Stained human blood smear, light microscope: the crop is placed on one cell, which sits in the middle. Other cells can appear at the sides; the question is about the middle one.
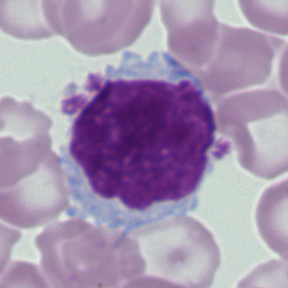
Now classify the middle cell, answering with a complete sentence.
The cell shown in the center of this light-microscope crop is a lymphocyte.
